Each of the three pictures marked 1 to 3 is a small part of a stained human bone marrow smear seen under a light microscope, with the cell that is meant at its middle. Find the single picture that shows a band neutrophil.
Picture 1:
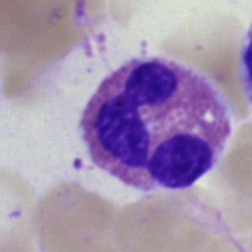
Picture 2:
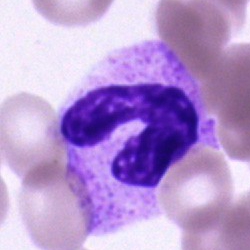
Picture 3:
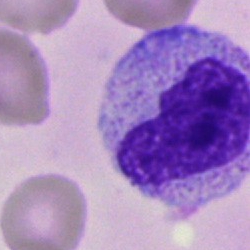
2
